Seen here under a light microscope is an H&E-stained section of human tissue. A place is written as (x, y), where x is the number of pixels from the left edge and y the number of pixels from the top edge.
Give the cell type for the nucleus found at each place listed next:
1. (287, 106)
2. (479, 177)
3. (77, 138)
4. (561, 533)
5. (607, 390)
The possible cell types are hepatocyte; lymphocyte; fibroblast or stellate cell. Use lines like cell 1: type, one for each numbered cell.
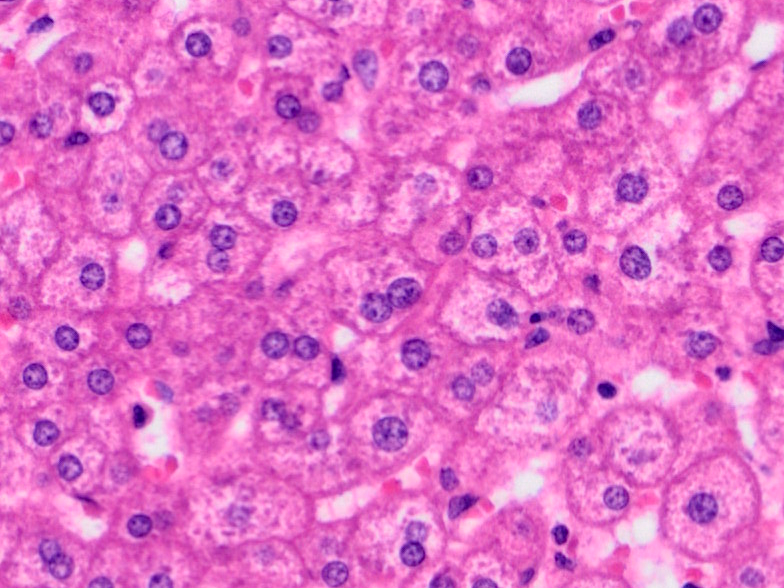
cell 1: hepatocyte
cell 2: hepatocyte
cell 3: fibroblast or stellate cell
cell 4: lymphocyte
cell 5: lymphocyte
